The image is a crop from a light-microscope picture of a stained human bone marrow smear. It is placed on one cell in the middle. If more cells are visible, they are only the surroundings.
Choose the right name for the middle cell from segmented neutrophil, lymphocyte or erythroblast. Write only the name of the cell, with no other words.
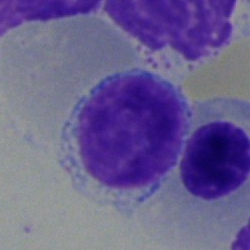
lymphocyte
